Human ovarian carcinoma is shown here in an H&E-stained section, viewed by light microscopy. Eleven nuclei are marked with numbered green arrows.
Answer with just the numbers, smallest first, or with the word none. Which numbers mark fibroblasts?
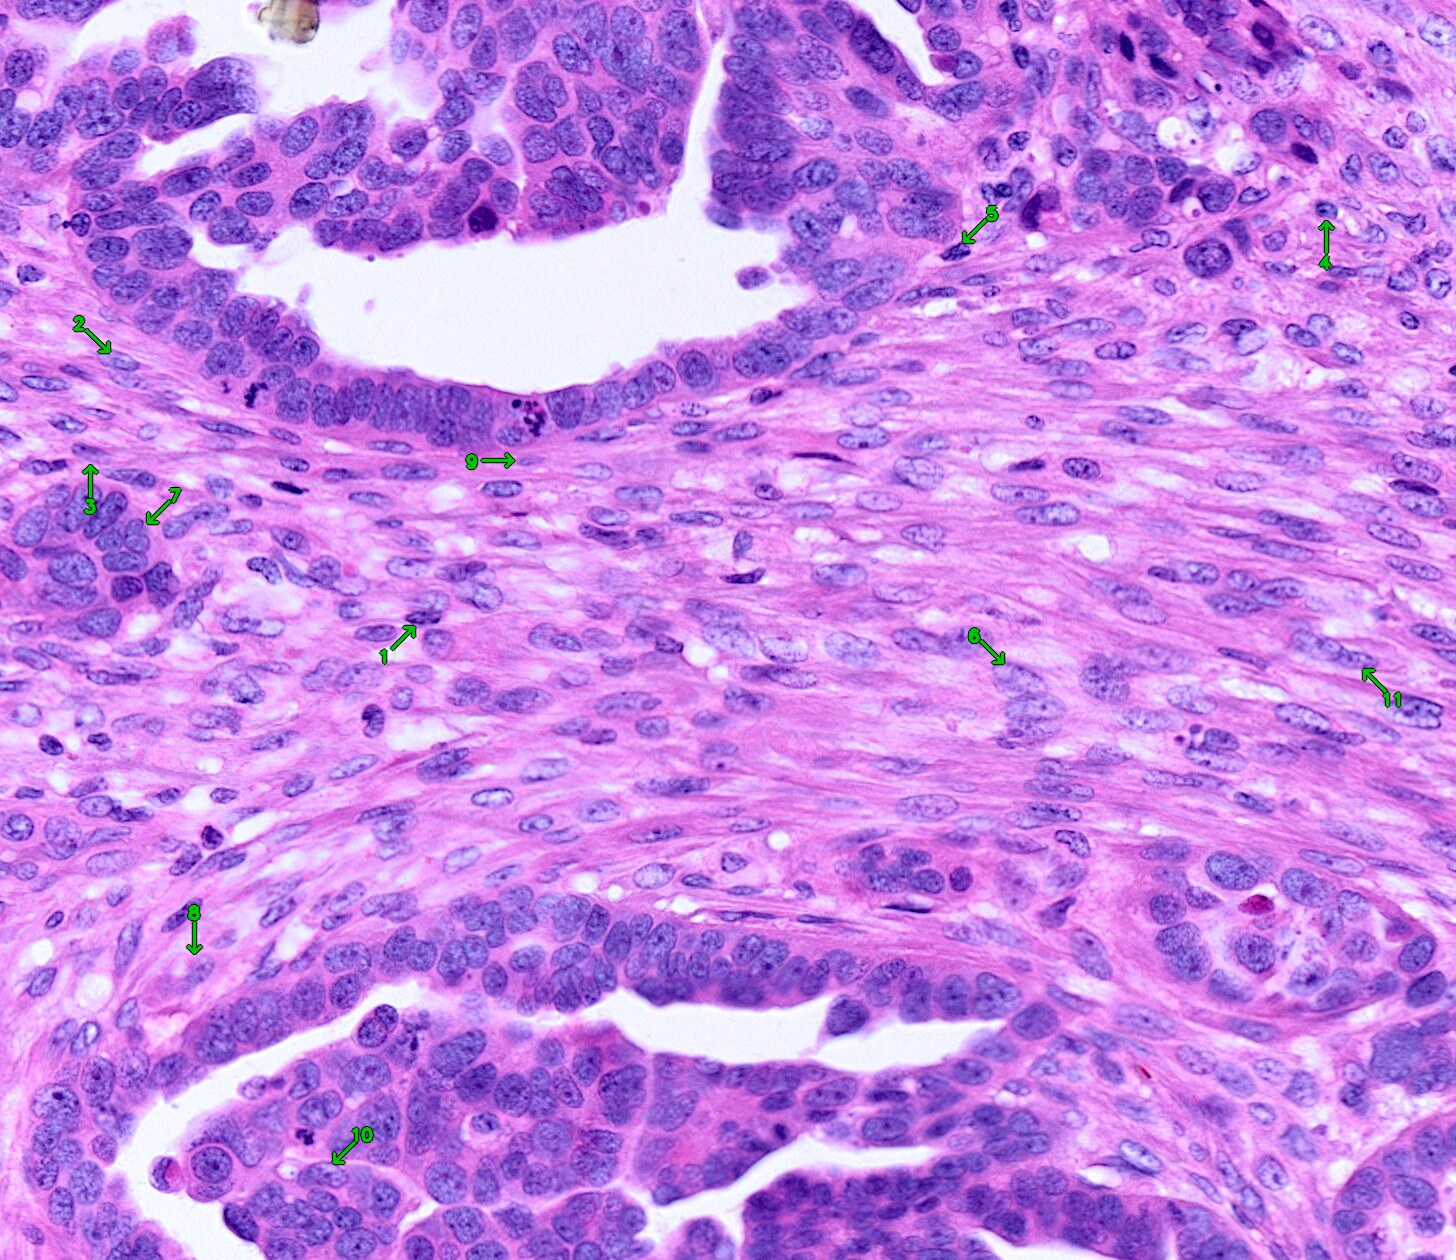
2, 3, 6, 8, 9, 11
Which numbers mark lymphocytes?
4, 5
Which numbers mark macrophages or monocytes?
1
